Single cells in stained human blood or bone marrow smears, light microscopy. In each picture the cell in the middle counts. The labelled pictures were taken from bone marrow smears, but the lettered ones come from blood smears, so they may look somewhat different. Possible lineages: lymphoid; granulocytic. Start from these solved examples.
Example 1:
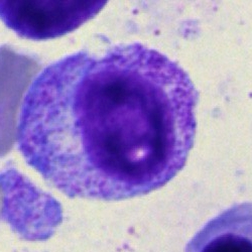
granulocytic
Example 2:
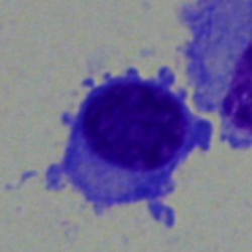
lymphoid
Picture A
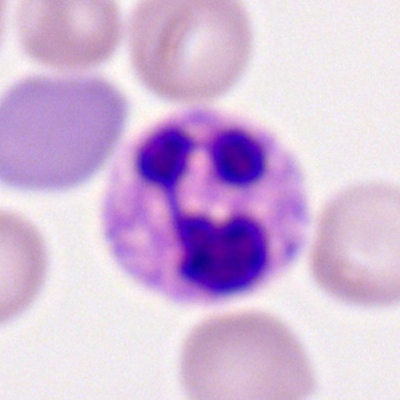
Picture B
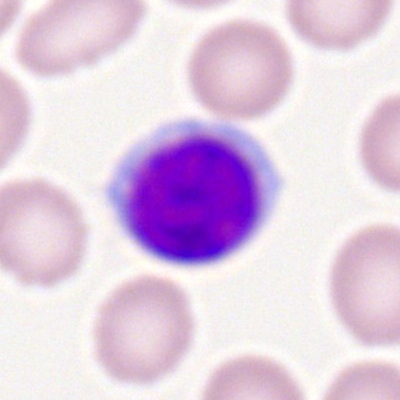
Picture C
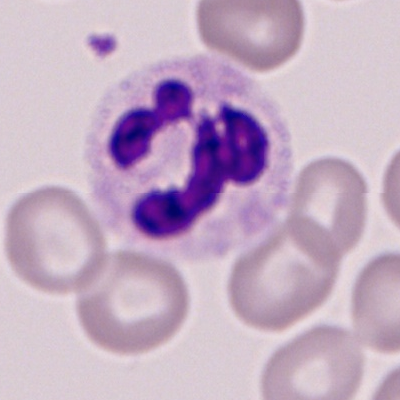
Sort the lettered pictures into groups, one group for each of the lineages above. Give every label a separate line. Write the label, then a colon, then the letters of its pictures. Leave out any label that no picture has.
lymphoid: B
granulocytic: A, C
